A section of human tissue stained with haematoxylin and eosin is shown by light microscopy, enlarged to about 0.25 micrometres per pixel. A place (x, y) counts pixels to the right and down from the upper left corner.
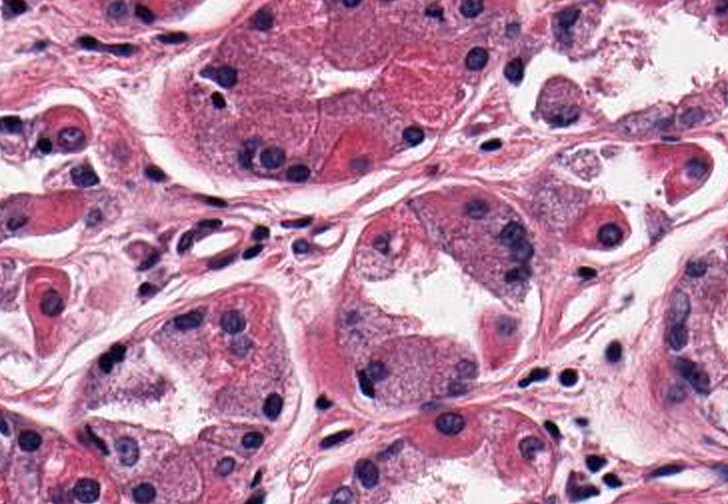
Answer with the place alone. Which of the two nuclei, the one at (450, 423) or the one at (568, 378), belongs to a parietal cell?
(450, 423)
